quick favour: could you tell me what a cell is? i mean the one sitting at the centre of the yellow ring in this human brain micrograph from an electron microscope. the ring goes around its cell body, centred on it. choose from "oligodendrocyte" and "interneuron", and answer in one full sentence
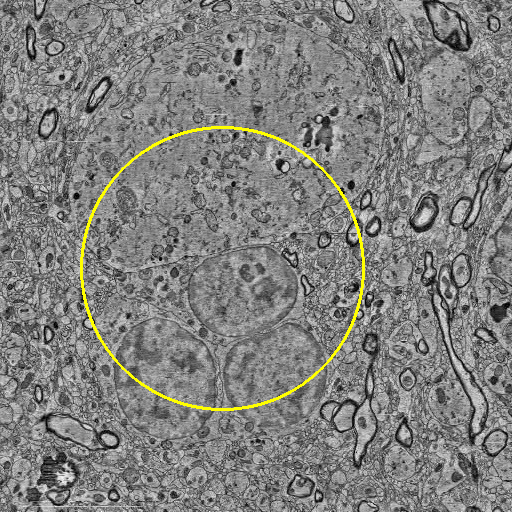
That's an oligodendrocyte, the cell sitting at the centre of the yellow ring.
